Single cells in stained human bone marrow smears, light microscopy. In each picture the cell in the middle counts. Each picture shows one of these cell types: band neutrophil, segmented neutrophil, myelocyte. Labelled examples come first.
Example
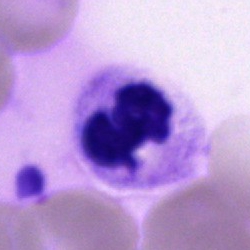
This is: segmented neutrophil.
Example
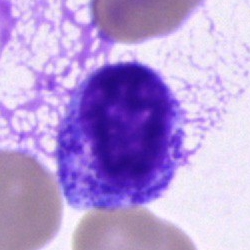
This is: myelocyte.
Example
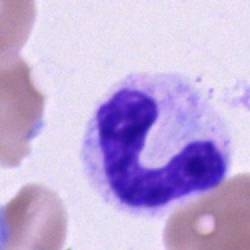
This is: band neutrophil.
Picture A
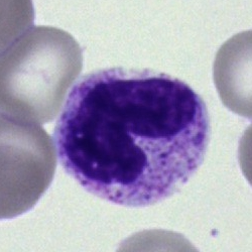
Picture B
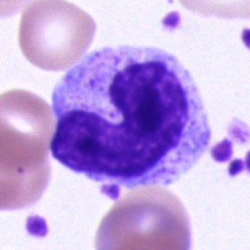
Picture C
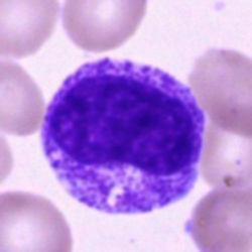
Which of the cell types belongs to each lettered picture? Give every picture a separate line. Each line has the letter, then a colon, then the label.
A: band neutrophil.
B: band neutrophil.
C: myelocyte.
